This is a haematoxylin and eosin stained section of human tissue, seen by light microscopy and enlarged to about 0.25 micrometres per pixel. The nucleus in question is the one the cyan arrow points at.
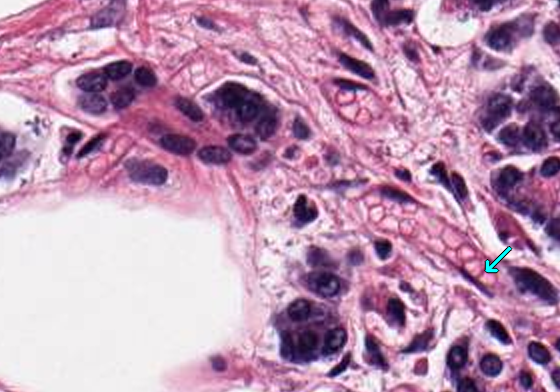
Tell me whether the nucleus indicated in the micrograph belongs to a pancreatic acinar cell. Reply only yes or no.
no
